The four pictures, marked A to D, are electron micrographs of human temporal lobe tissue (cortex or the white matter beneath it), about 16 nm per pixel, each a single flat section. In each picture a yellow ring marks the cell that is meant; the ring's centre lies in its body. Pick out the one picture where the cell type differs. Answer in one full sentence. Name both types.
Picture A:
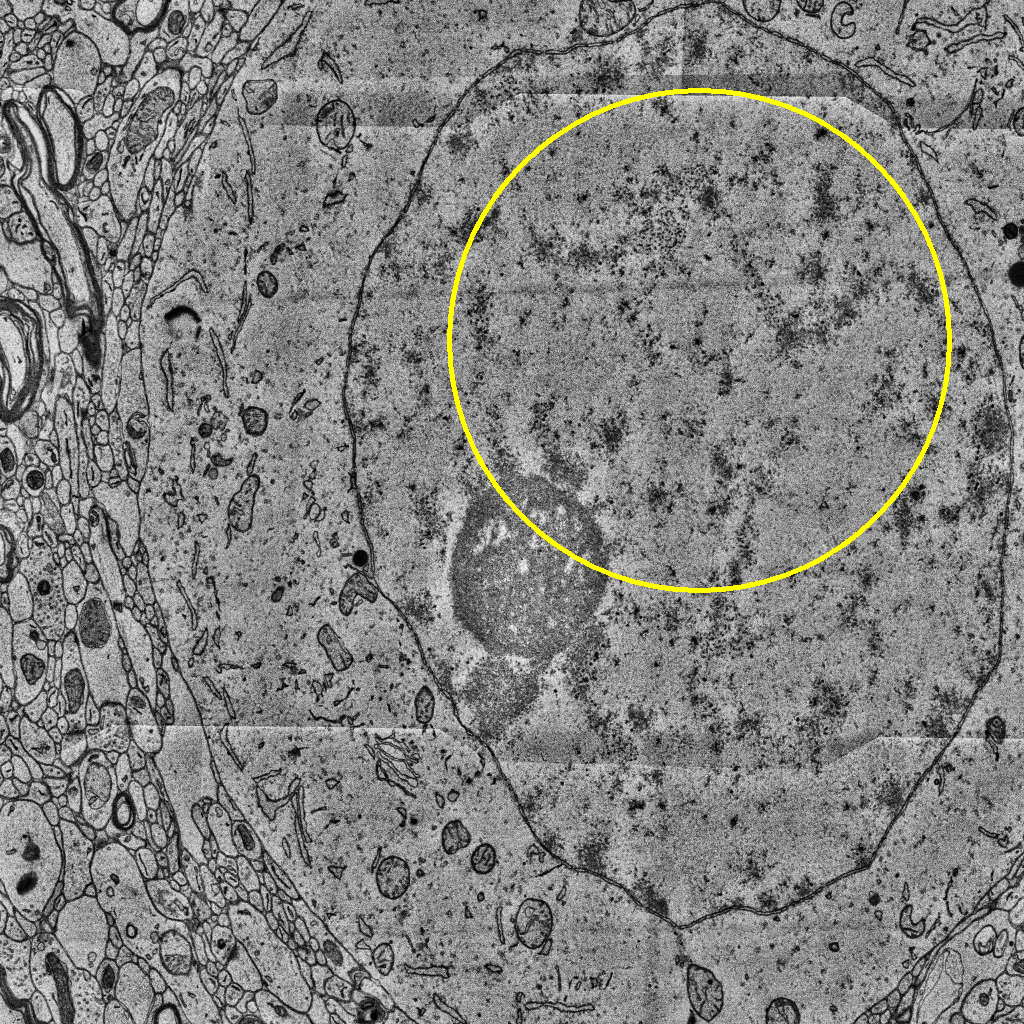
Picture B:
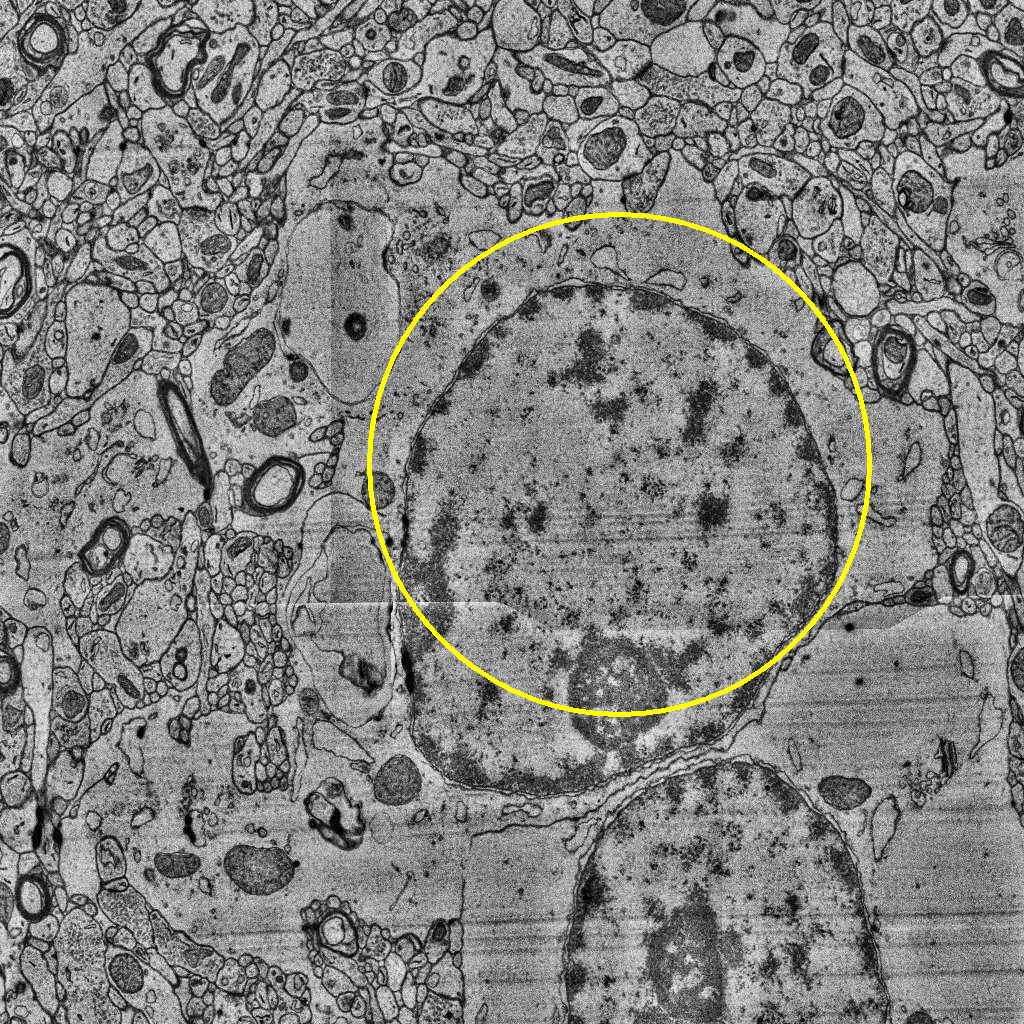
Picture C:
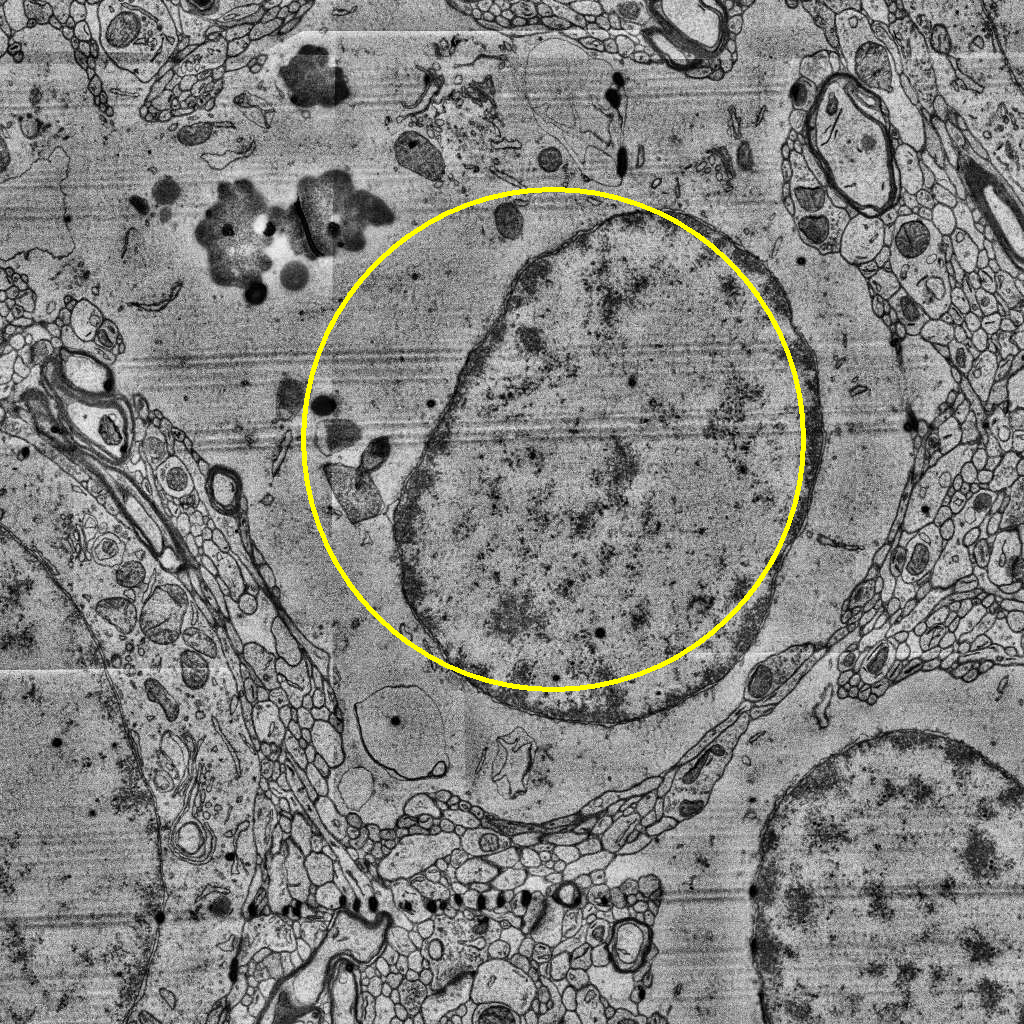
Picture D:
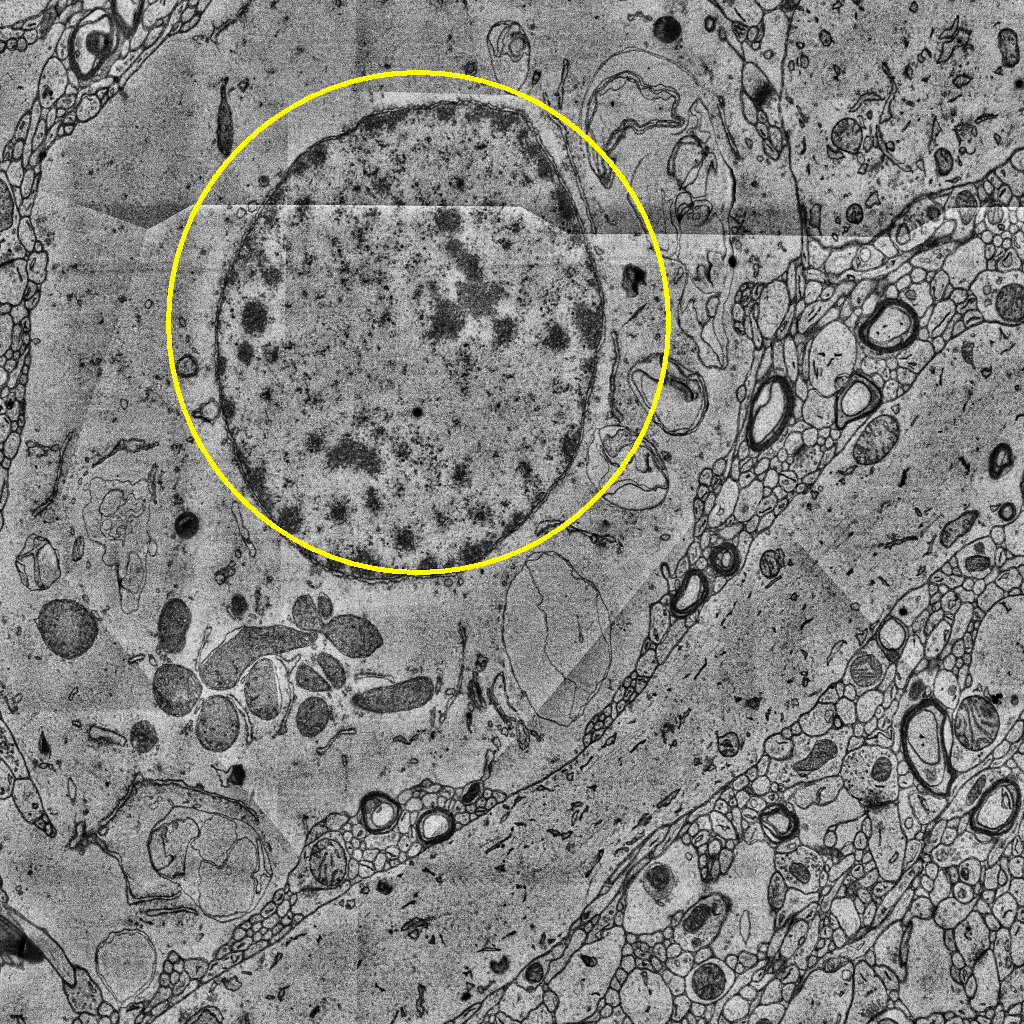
Picture A is the odd one out: it shows a pyramidal neuron, while the others show astrocytes.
